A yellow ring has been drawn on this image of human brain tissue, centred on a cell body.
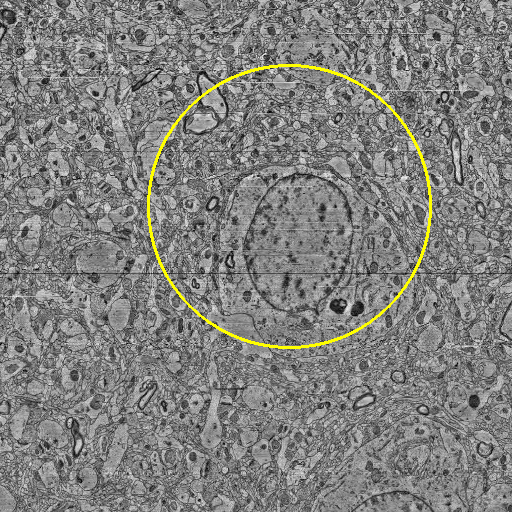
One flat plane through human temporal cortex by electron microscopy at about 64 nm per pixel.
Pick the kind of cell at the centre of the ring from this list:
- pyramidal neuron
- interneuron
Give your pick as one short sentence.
The centre of the ring holds a pyramidal neuron.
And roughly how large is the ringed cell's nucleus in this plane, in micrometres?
The nucleus comes to roughly 9 by 7 micrometres in this plane.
